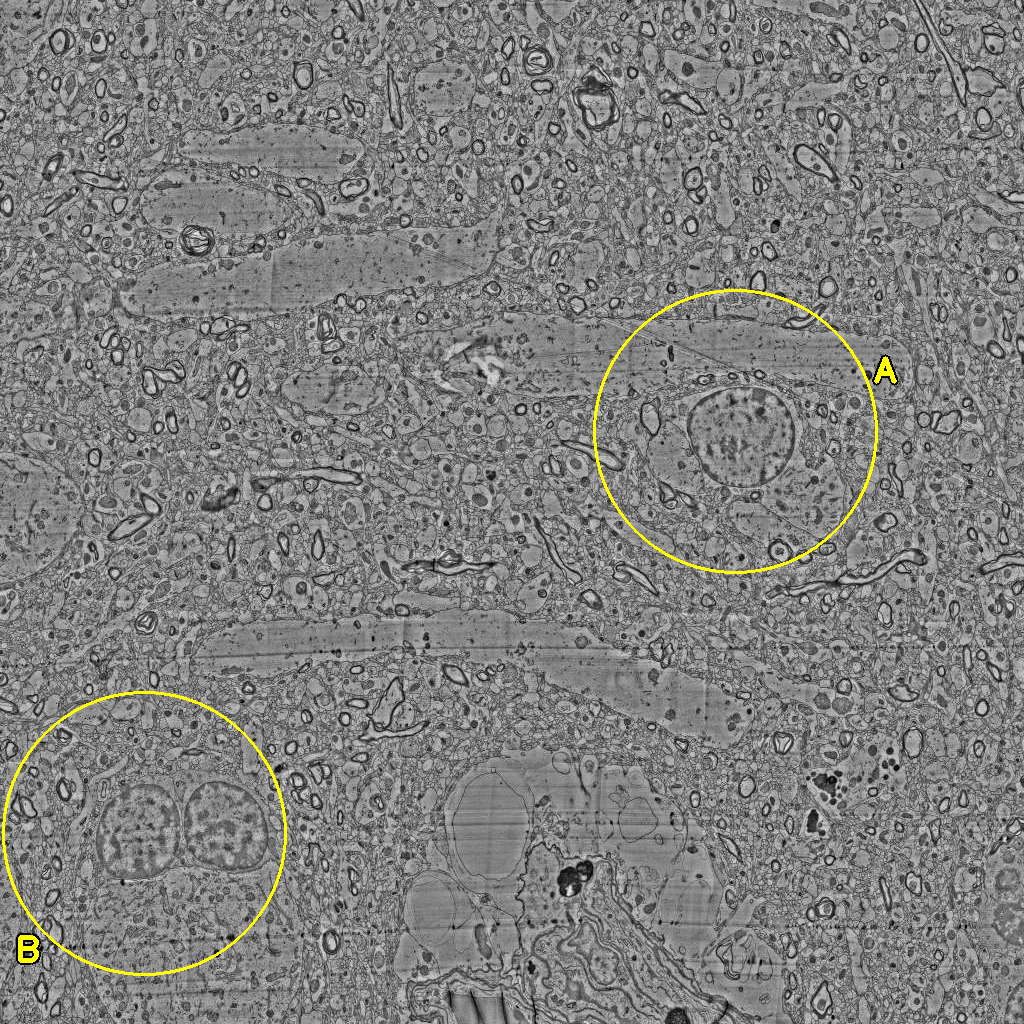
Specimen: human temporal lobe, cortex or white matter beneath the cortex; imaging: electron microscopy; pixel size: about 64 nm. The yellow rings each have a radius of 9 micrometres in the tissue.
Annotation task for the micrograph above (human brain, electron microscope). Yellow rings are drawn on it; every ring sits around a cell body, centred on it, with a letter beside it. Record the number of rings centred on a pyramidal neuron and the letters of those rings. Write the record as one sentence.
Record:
Counting the rings centred on a pyramidal neuron gives zero, as there are none.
